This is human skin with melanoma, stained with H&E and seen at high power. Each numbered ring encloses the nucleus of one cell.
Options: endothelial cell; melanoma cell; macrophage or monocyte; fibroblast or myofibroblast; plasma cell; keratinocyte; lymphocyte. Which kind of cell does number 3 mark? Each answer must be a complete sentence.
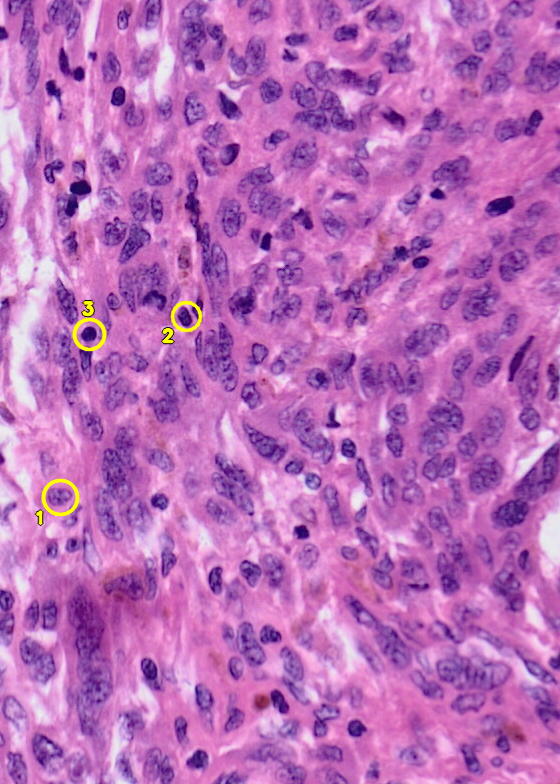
The cell referenced by the number 3 is a lymphocyte in this field.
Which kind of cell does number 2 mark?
Here the cell numbered 2 is a lymphocyte.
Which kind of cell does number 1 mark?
The identity of cell 1 is that of a macrophage or monocyte.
